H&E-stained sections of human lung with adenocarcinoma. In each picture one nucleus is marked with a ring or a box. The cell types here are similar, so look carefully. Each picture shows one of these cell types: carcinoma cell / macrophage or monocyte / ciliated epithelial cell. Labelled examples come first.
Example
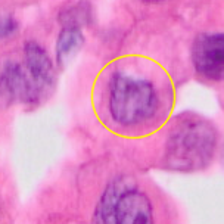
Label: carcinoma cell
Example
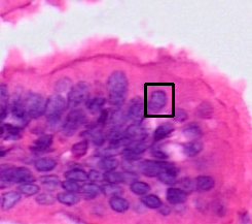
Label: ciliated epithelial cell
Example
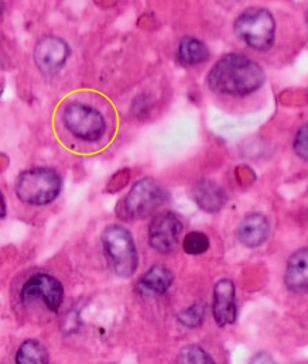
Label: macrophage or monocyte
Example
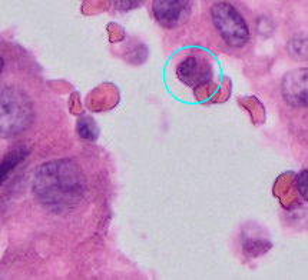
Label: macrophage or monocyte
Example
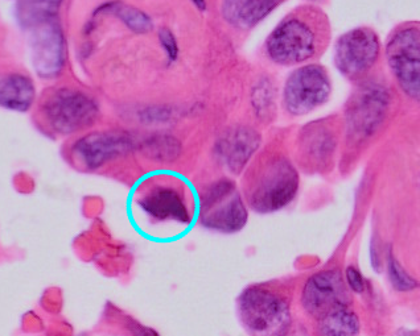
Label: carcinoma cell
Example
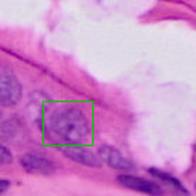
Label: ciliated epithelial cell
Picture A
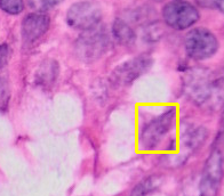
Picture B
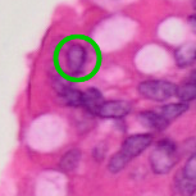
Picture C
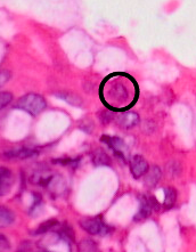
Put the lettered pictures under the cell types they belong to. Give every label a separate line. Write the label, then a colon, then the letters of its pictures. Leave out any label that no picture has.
ciliated epithelial cell: A, B, C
